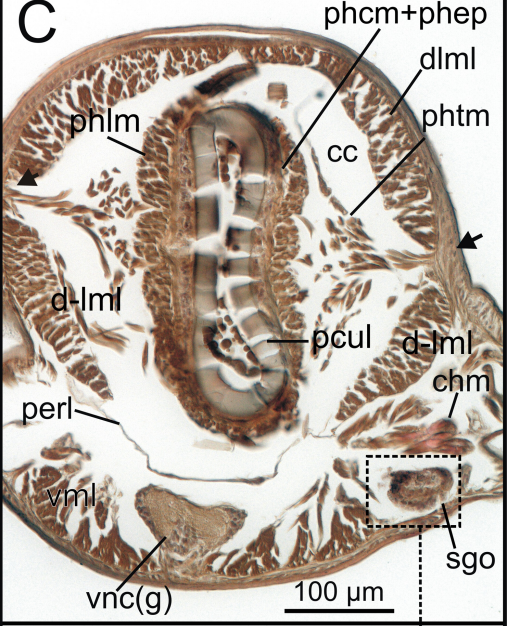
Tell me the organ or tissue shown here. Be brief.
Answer: pharynx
